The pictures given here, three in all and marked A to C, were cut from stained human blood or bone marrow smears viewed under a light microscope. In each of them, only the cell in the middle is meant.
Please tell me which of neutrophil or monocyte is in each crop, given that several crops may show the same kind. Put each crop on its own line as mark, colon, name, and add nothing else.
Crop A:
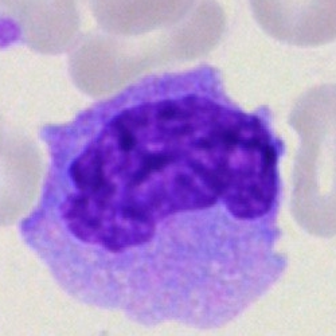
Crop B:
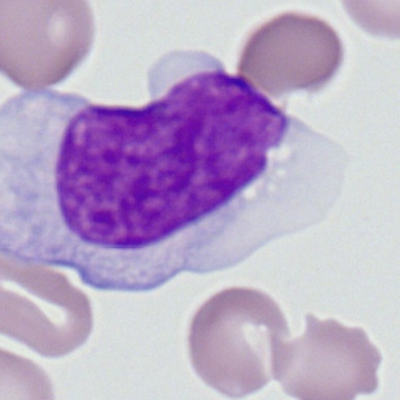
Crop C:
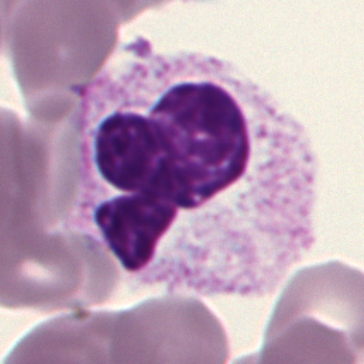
A: monocyte
B: monocyte
C: neutrophil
